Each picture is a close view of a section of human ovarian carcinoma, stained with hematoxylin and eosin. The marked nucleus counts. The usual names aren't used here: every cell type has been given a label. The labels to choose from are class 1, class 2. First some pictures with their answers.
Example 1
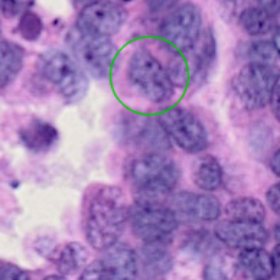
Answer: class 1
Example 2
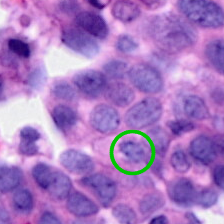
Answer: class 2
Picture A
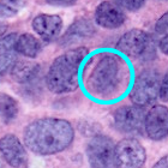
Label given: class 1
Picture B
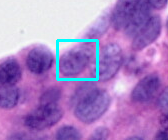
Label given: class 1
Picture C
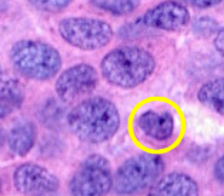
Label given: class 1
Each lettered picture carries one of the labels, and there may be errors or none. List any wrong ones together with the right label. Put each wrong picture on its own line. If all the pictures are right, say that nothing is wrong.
C is labelled class 1; correct label: class 2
